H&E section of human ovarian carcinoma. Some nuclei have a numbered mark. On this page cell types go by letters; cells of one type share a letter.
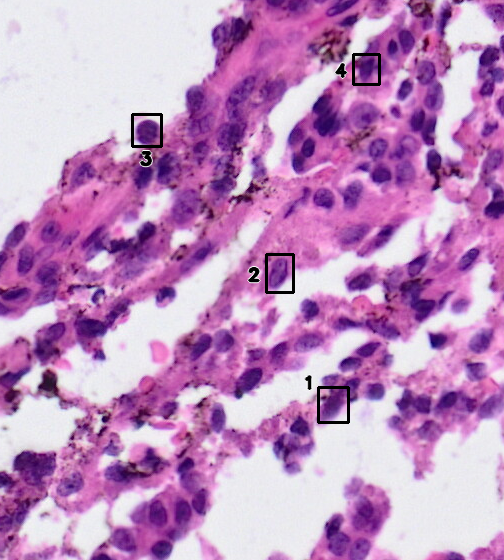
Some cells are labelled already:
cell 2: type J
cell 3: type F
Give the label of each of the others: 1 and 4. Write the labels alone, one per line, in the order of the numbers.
type F
type F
